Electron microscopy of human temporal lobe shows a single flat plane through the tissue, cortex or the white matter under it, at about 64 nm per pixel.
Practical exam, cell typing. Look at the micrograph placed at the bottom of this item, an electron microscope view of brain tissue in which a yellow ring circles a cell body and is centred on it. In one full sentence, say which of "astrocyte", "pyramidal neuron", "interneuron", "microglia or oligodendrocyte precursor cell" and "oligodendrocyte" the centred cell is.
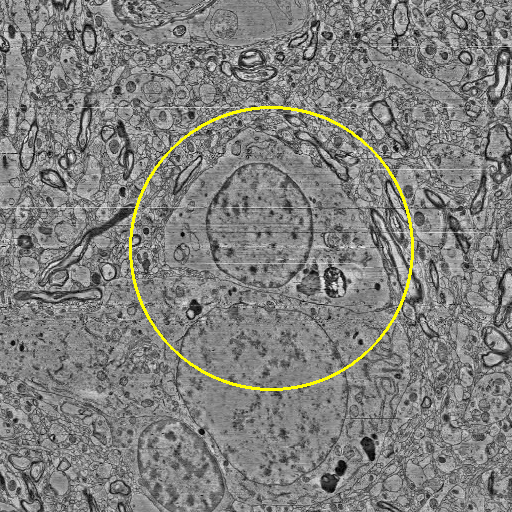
Given the options, an astrocyte fits the cell whose body the yellow ring is centred on.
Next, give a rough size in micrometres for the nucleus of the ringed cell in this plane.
Approximately 8 by 7 micrometers in this plane.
